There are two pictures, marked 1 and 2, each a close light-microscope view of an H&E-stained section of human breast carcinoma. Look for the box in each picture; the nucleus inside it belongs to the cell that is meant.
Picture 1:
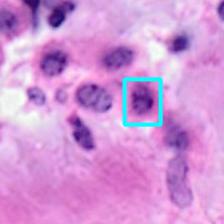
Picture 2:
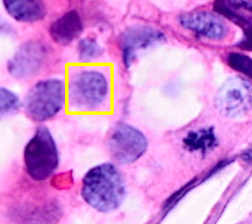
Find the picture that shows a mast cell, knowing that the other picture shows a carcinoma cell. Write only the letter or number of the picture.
1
